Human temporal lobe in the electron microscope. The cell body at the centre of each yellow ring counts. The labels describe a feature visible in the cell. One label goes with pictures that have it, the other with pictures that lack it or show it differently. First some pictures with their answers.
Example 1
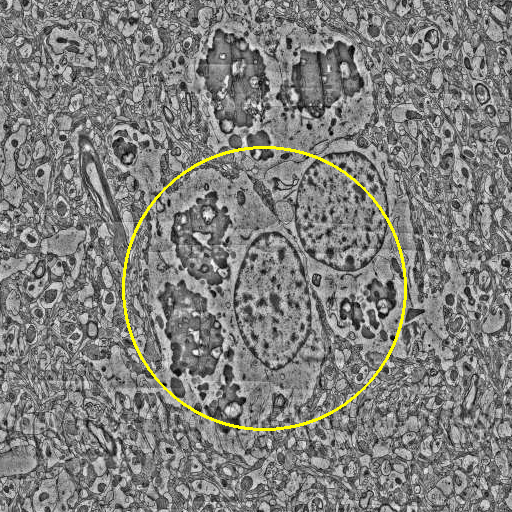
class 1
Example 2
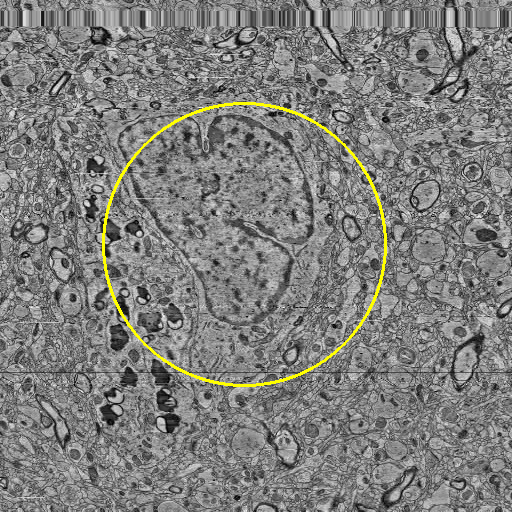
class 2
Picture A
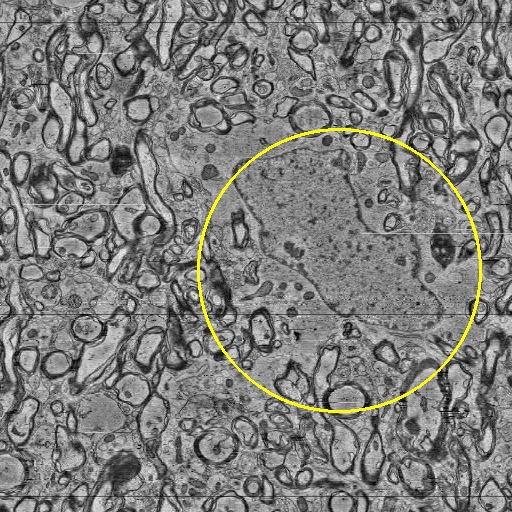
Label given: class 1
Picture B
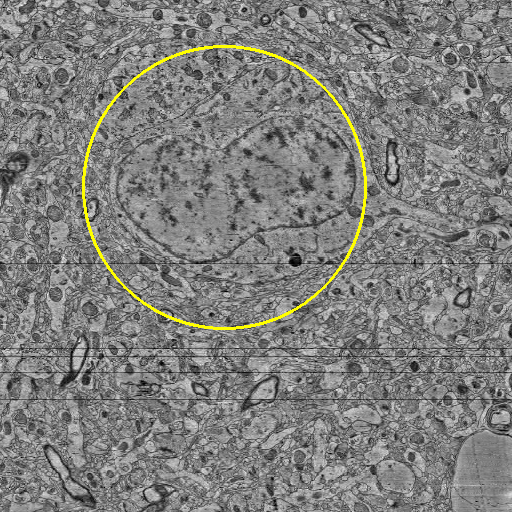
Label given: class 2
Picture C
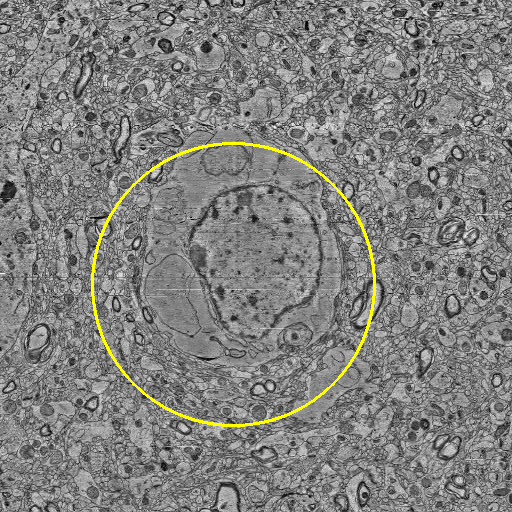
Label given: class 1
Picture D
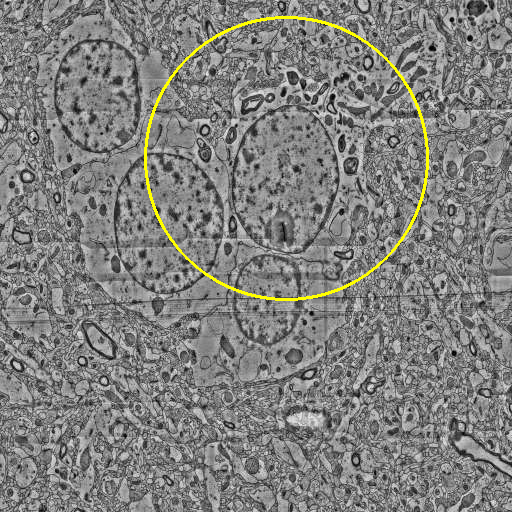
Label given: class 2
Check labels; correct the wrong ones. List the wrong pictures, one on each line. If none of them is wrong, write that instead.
A is labelled class 1; correct label: class 2
C is labelled class 1; correct label: class 2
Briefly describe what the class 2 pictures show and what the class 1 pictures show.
In class 2: deeply folded or indented nuclear envelopes. In class 1: smooth nuclear envelopes without deep folds.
